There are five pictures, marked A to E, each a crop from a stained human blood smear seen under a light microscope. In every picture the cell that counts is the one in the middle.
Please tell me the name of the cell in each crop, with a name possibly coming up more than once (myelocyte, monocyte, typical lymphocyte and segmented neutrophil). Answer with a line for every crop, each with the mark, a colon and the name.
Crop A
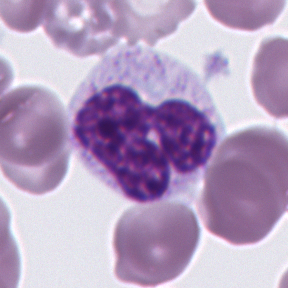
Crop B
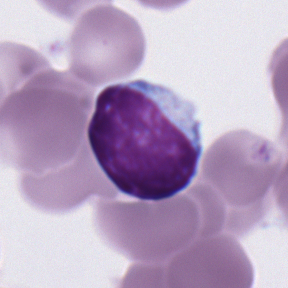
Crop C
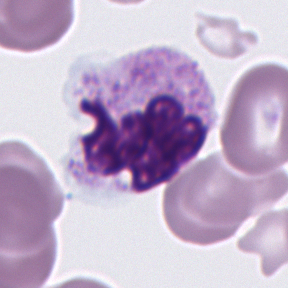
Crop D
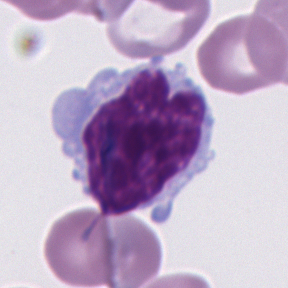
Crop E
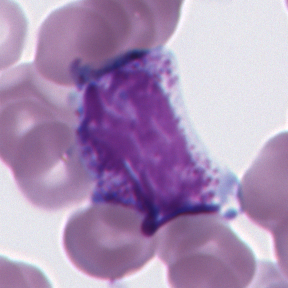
A: segmented neutrophil
B: typical lymphocyte
C: segmented neutrophil
D: typical lymphocyte
E: myelocyte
